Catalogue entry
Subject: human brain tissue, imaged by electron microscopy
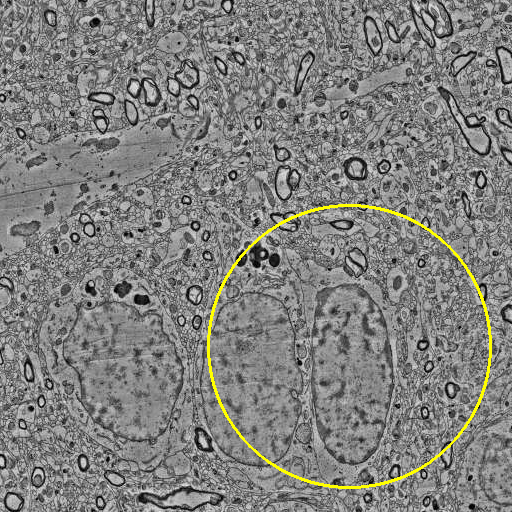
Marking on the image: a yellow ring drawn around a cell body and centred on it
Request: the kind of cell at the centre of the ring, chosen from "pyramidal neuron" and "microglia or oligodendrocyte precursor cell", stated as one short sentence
The ring has a microglial cell or oligodendrocyte precursor cell at its centre.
